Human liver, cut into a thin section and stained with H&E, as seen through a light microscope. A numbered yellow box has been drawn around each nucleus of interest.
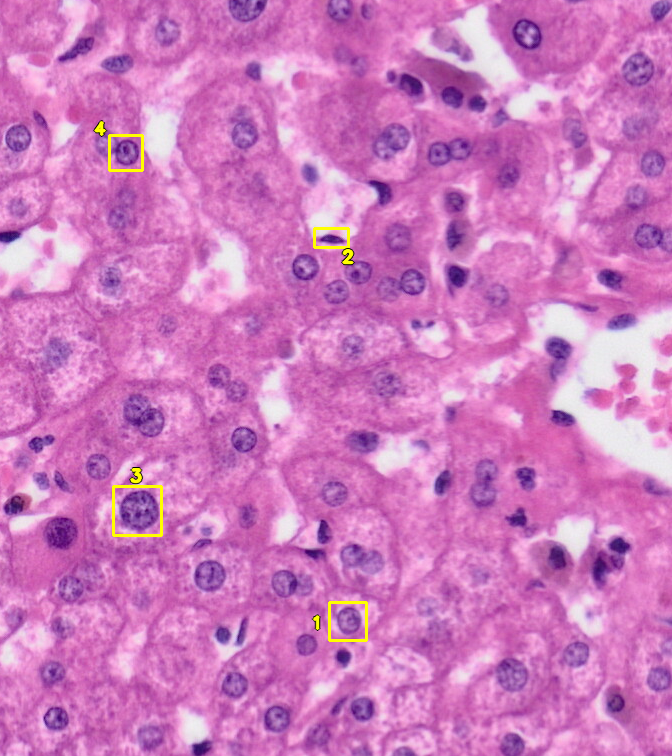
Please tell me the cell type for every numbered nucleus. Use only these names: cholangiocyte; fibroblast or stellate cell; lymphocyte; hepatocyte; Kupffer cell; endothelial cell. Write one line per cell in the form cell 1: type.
cell 1: hepatocyte
cell 2: endothelial cell
cell 3: hepatocyte
cell 4: hepatocyte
